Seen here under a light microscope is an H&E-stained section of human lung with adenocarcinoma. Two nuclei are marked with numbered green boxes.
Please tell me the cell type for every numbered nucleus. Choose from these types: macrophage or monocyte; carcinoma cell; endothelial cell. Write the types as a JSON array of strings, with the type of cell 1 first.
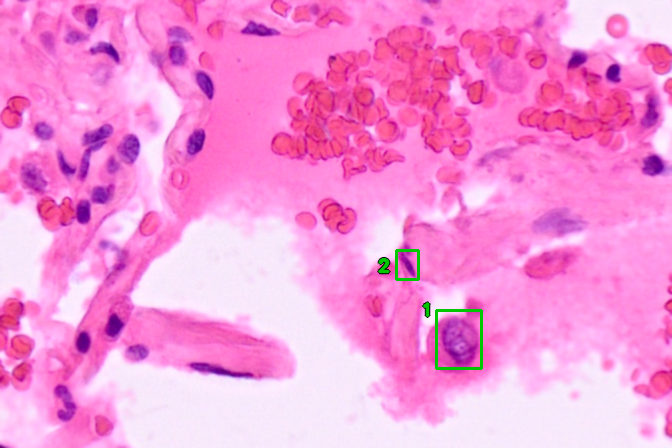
["carcinoma cell", "endothelial cell"]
